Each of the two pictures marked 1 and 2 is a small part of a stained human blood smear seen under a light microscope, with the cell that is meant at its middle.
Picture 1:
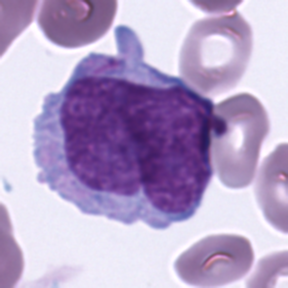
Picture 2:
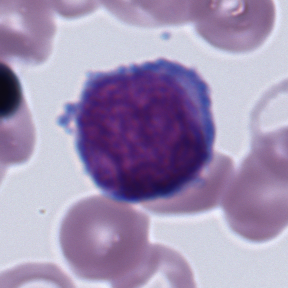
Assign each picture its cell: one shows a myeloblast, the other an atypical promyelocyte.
1: atypical promyelocyte
2: myeloblast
